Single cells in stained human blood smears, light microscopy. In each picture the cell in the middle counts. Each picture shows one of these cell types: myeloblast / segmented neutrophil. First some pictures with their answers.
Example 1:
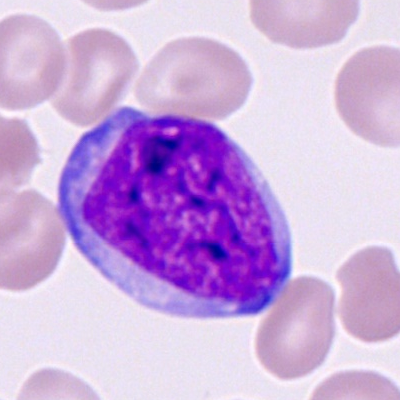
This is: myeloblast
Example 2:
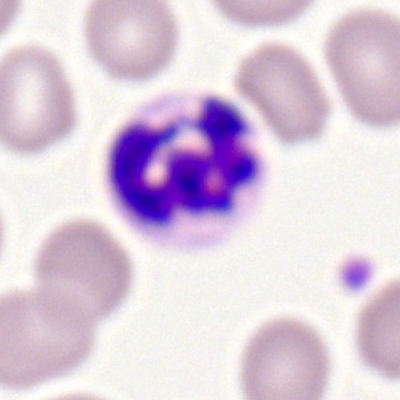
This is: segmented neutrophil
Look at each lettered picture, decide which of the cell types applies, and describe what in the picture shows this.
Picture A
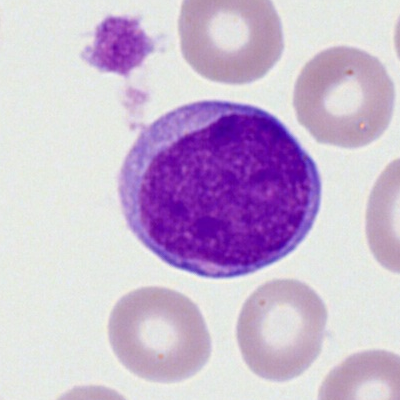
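myeloblast. Reason: The nucleus fills most of the cell, leaving a narrow rim of cytoplasm.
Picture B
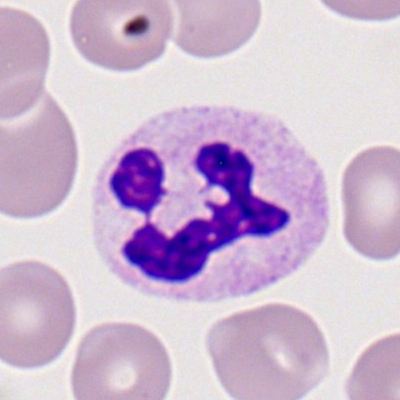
segmented neutrophil. Reason: The cytoplasm is abundant and pale pinkish-lilac.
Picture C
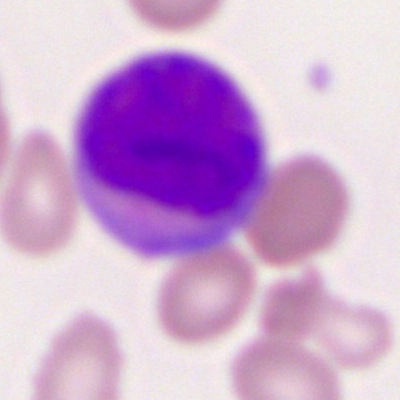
myeloblast. Reason: The nucleus fills most of the cell, leaving little cytoplasm.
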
